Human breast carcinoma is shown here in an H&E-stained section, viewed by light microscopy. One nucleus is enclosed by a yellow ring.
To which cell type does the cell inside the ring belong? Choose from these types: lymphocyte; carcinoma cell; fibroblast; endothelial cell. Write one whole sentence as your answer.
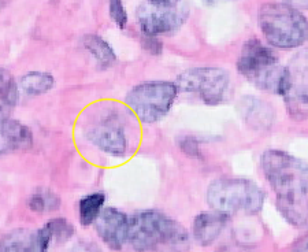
On this particular slide, the cell inside the ring is a carcinoma cell.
